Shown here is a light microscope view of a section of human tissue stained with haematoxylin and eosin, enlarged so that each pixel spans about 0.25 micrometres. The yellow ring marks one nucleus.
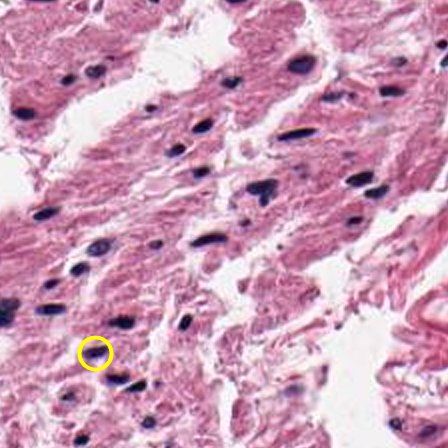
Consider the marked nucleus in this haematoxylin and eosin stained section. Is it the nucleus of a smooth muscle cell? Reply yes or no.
yes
